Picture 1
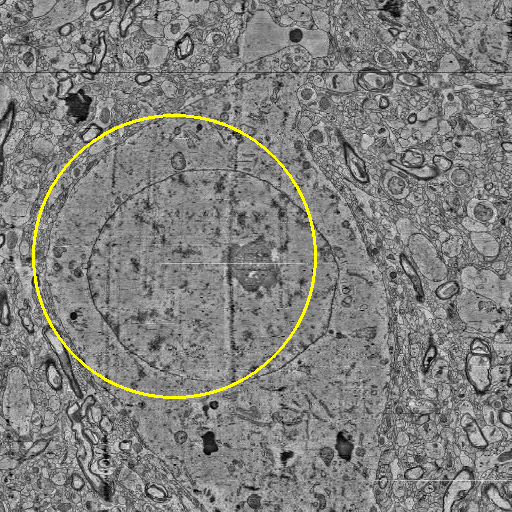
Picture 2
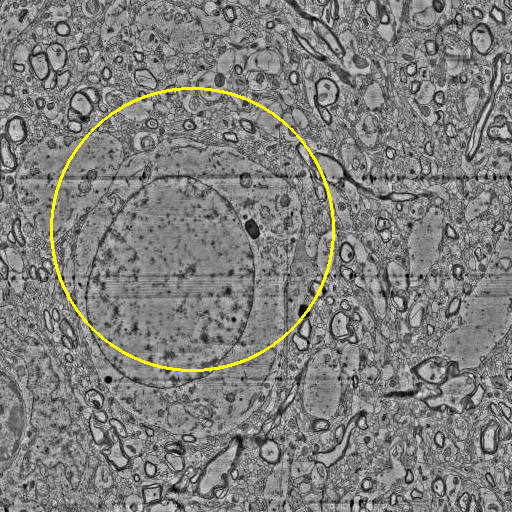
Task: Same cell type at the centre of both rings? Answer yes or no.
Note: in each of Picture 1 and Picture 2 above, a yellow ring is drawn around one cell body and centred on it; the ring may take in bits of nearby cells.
yes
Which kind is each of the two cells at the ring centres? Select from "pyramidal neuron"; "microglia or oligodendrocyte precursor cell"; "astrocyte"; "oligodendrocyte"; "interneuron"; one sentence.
Each cell at the centre of a ring is a pyramidal neuron.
